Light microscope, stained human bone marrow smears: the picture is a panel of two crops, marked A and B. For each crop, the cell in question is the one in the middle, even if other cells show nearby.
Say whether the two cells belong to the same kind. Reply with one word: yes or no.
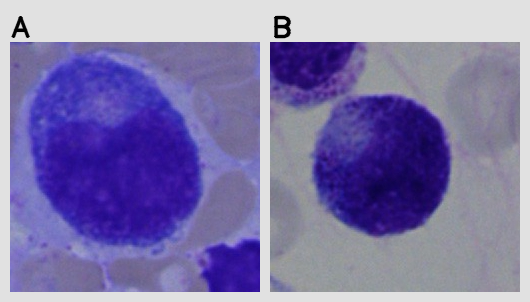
yes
